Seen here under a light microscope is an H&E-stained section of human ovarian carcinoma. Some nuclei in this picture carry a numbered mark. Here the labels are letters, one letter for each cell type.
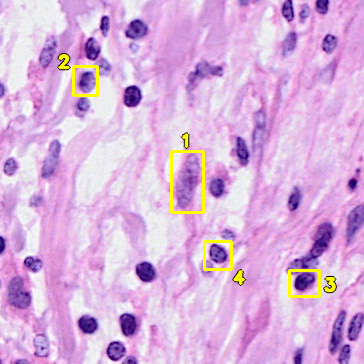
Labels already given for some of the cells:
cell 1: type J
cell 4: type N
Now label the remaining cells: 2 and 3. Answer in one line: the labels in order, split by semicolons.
type N; type N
